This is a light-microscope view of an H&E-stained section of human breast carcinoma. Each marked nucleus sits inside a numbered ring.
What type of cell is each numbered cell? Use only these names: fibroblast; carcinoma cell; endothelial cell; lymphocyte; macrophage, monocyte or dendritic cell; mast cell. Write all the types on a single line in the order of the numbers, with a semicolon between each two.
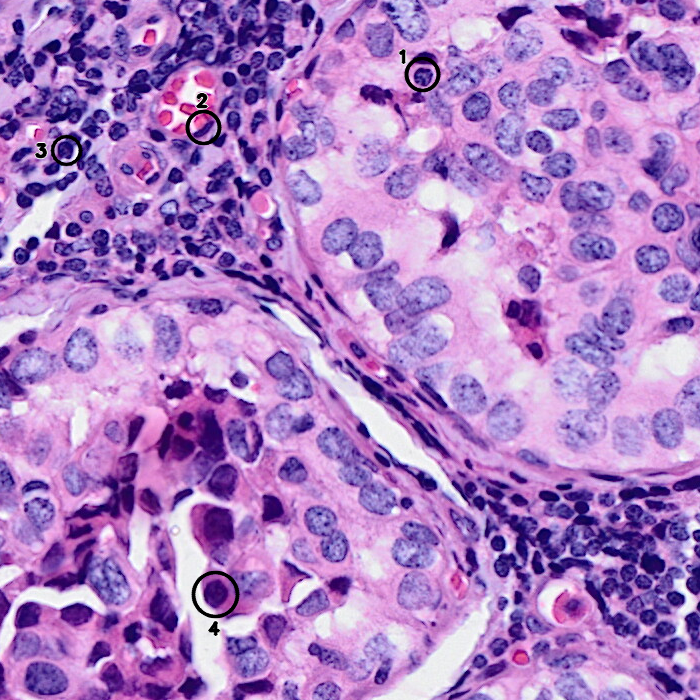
lymphocyte; endothelial cell; lymphocyte; carcinoma cell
